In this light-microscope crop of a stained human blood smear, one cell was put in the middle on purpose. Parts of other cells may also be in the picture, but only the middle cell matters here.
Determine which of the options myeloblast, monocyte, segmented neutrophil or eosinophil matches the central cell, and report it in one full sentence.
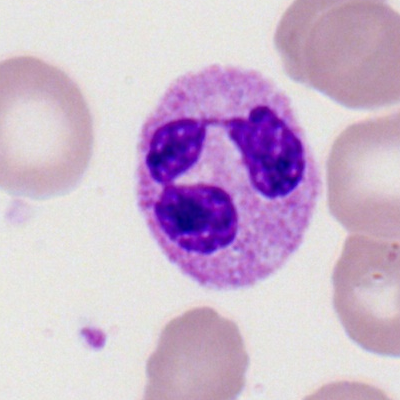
Where the crop is centred, there is a segmented neutrophil.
